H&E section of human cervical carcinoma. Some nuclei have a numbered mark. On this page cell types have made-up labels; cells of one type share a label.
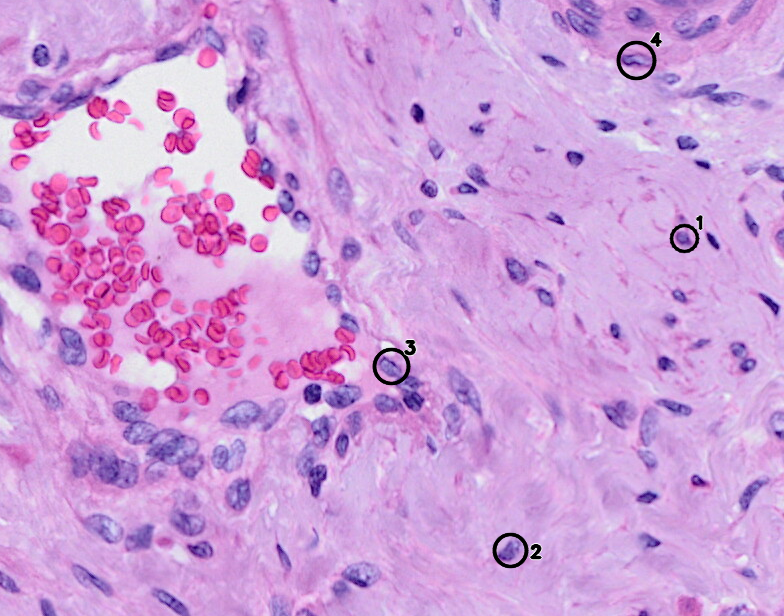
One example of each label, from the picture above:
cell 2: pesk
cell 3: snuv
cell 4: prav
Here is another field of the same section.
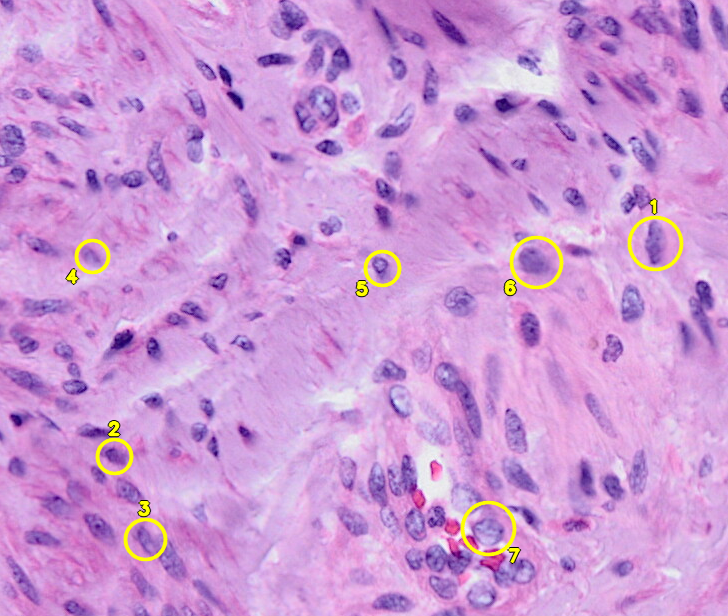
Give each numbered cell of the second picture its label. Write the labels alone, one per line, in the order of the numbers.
pesk
prav
prav
prav
pesk
pesk
snuv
